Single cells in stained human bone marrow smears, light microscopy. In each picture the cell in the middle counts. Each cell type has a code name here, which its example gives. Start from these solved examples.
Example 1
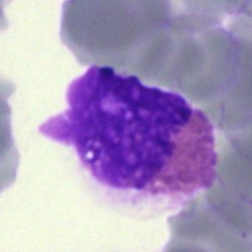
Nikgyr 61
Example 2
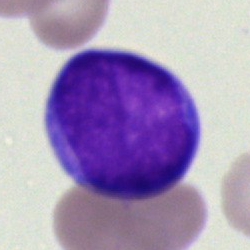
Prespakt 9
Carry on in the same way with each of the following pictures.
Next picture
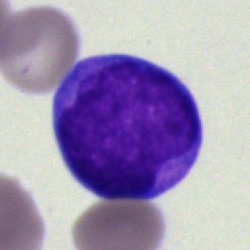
Prespakt 9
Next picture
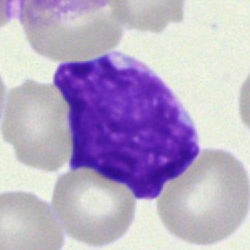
Prespakt 9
